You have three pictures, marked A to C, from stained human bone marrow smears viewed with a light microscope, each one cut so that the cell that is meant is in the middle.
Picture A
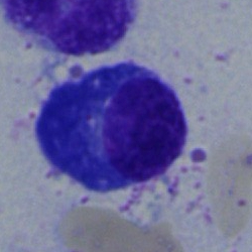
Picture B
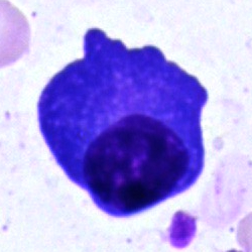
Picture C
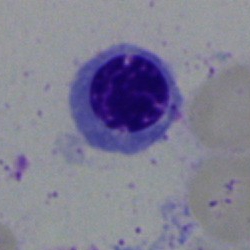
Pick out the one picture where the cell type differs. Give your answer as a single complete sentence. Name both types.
The others show plasma cells, but picture C shows an erythroblast.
